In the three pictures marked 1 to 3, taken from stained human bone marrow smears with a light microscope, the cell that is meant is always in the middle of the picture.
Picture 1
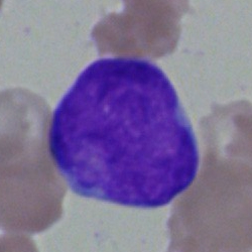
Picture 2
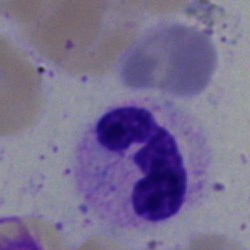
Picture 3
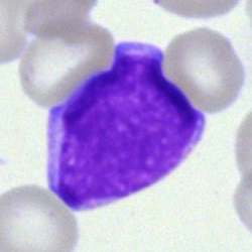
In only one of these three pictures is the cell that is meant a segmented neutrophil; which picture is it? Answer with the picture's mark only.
2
